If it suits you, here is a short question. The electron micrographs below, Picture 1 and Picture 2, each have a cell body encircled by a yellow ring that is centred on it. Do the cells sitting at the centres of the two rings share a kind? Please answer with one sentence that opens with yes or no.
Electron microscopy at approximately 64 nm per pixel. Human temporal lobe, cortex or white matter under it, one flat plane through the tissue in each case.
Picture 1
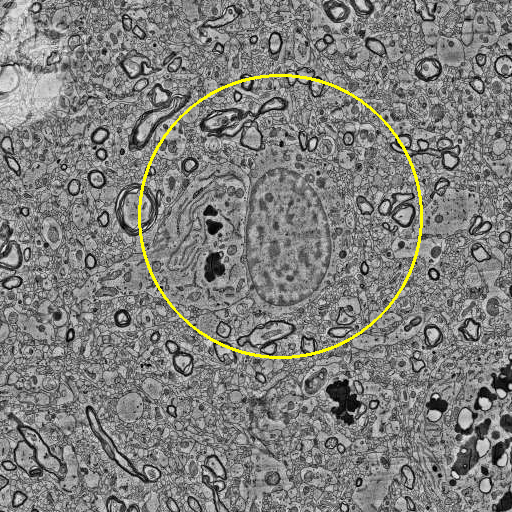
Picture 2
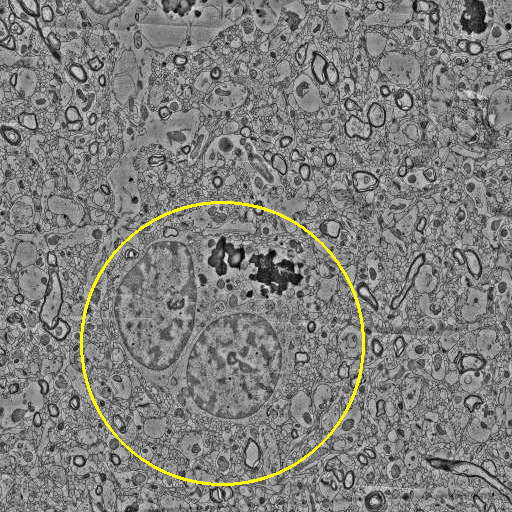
Yes, the two cells sitting at the ring centres share a single kind.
